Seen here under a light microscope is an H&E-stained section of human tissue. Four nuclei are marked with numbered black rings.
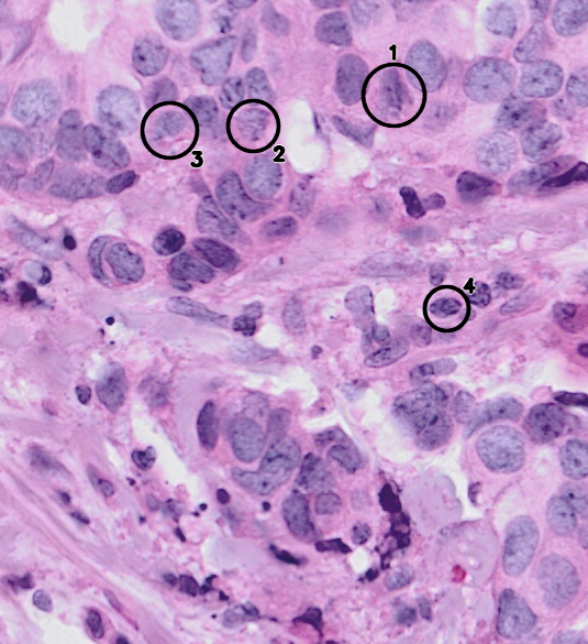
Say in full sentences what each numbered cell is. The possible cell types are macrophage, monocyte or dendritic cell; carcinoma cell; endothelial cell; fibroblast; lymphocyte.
Cells 1, 2 and 3 are carcinoma cells. Cell 4 is a lymphocyte.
